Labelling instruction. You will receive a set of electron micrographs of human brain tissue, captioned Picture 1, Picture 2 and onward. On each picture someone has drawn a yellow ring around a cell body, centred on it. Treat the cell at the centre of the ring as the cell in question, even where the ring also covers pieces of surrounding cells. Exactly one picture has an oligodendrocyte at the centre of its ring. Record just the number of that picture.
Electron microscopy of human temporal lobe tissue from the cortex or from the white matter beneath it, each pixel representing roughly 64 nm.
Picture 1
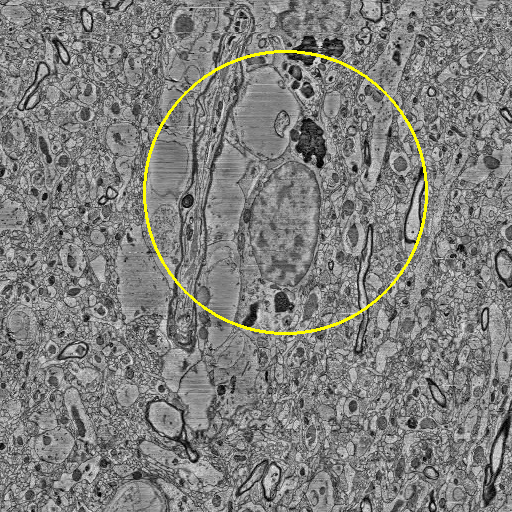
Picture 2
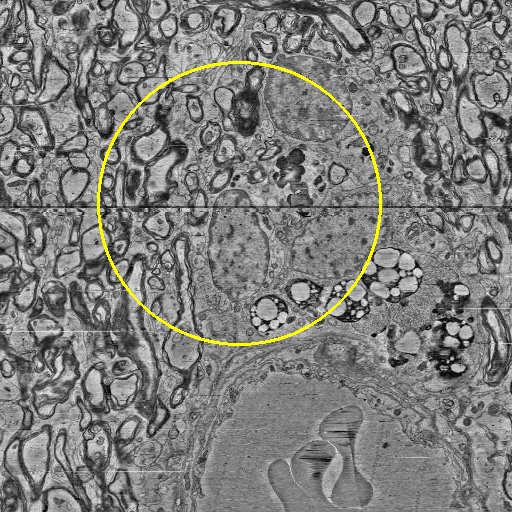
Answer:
1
